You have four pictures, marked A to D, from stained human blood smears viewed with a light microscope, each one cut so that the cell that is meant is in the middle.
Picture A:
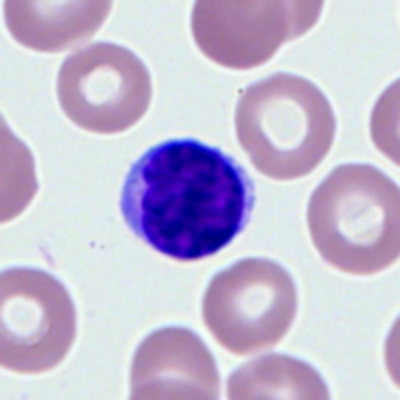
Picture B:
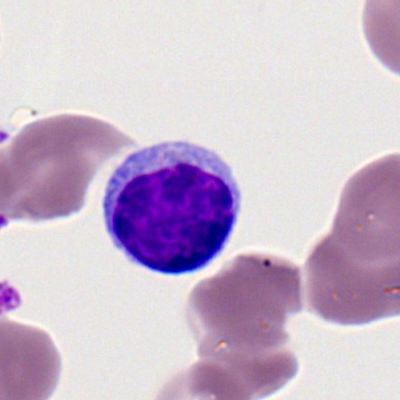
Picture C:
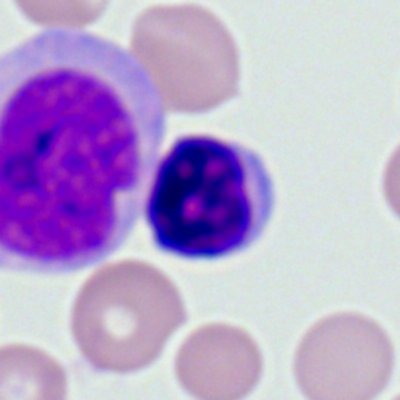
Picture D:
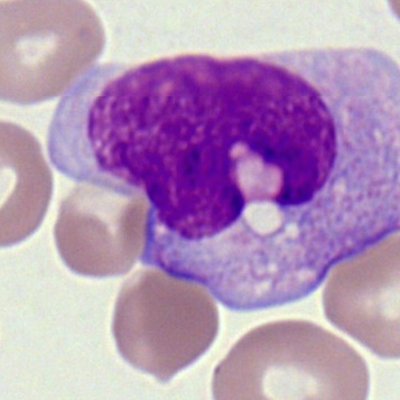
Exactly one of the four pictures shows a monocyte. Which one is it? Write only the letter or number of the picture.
D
